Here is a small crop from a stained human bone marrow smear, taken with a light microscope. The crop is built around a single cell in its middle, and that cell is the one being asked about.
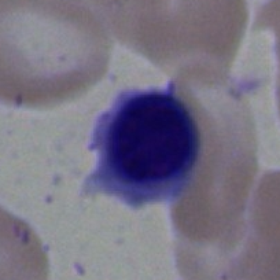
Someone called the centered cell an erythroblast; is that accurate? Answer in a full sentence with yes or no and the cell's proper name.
Yes, the cell here in the middle is an erythroblast.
